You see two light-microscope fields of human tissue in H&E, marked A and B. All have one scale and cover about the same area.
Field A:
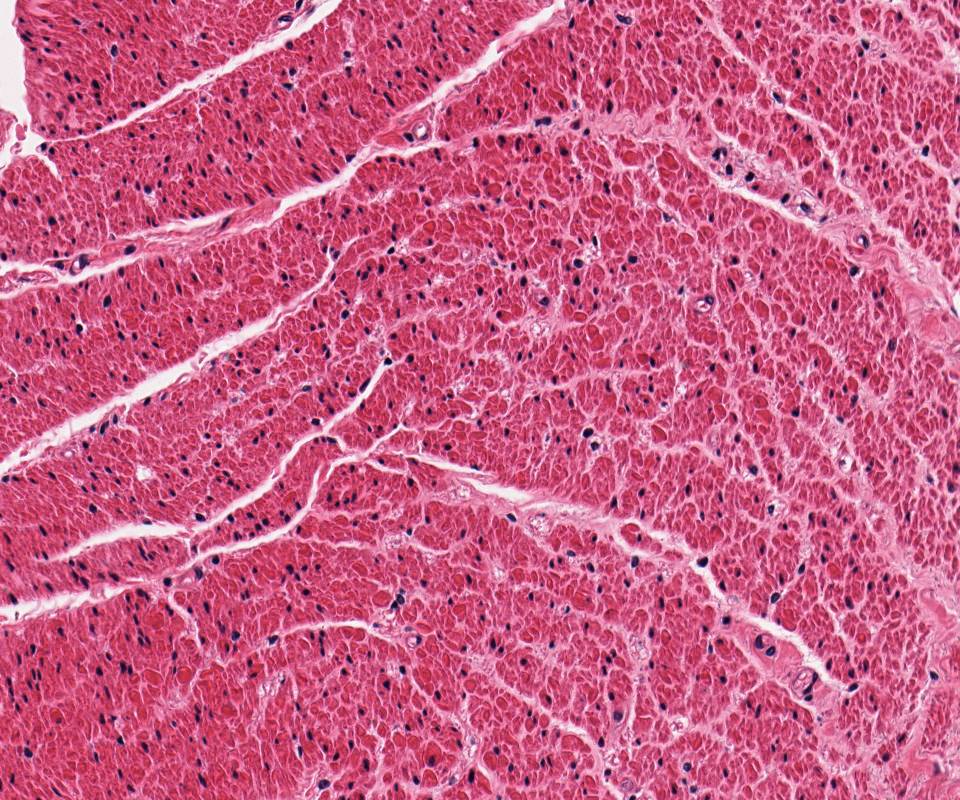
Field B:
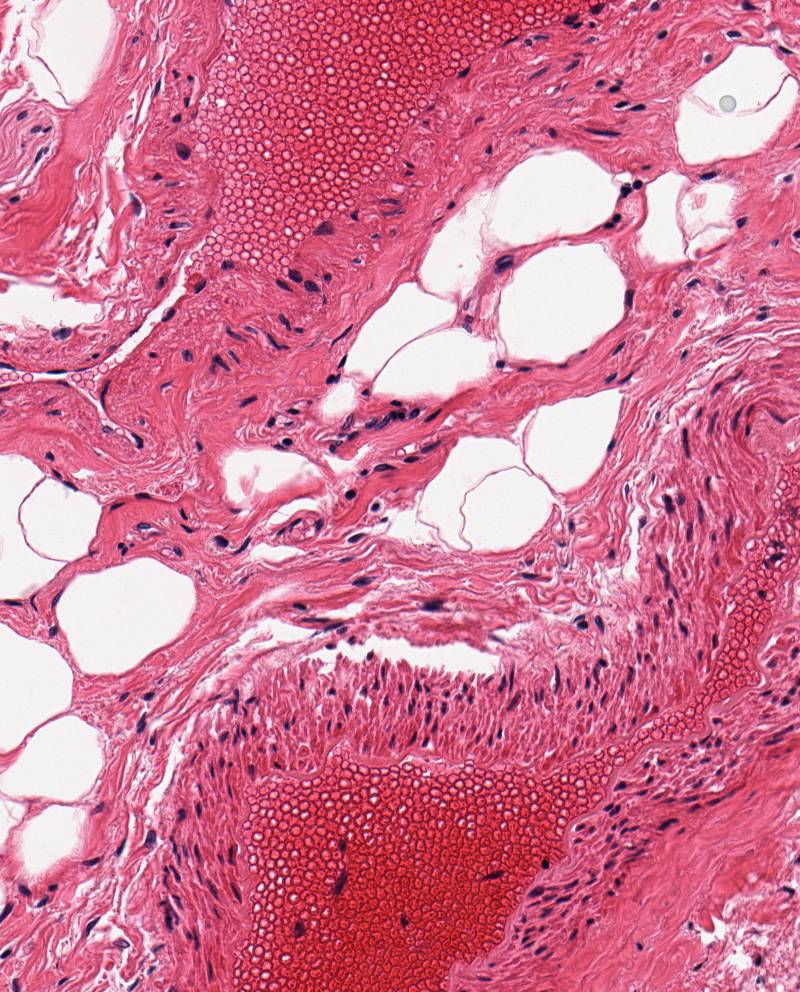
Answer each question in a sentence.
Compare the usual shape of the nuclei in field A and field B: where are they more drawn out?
On the whole the nuclei of field B are more drawn out than those of field A.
